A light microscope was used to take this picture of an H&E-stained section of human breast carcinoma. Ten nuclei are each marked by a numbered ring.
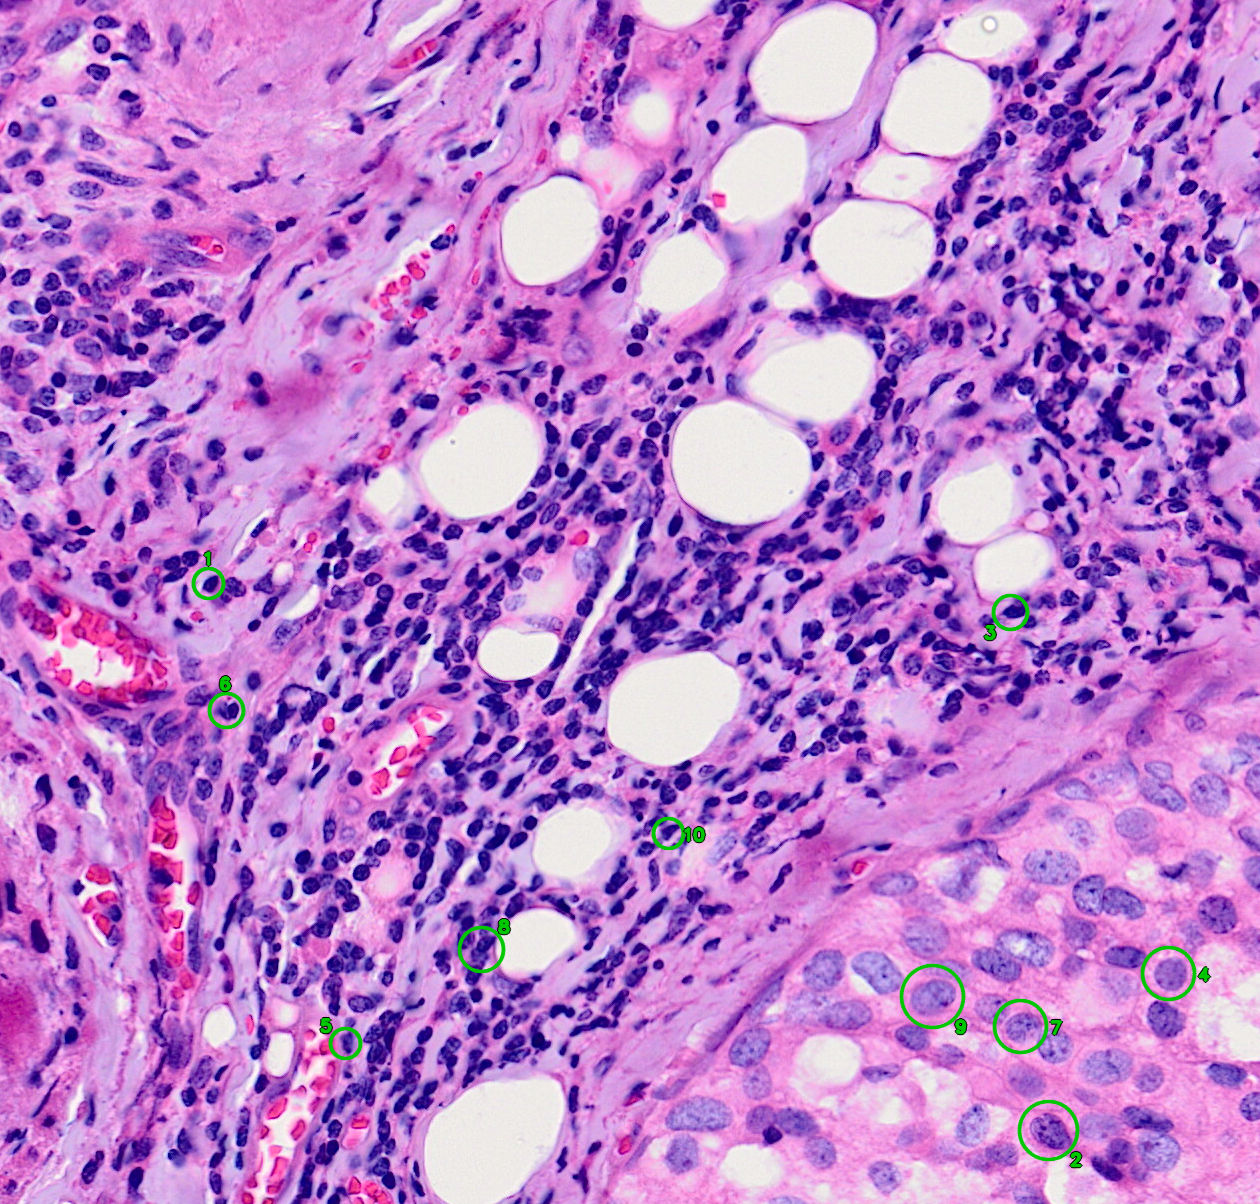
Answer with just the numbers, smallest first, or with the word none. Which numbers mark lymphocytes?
1, 3, 5, 6, 8, 10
